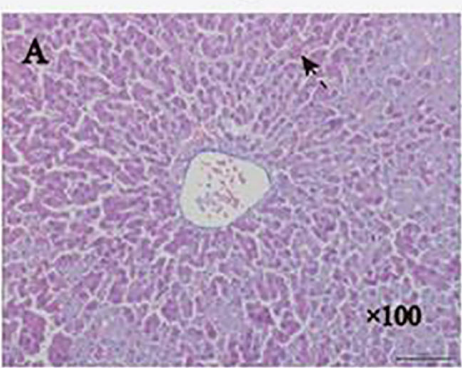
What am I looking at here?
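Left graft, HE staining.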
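Liver tissue with pink hepatocyte cords radiating from a central vein whose lumen holds scattered red blood cells. The cords are separated by widened, irregular, pale spaces corresponding to sinusoids. Hepatocyte cytoplasm looks uneven, with paler and darker pink areas, and the plates appear fragmented in places. Nuclei are small and dark. A thin bluish lining borders the central vein.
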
